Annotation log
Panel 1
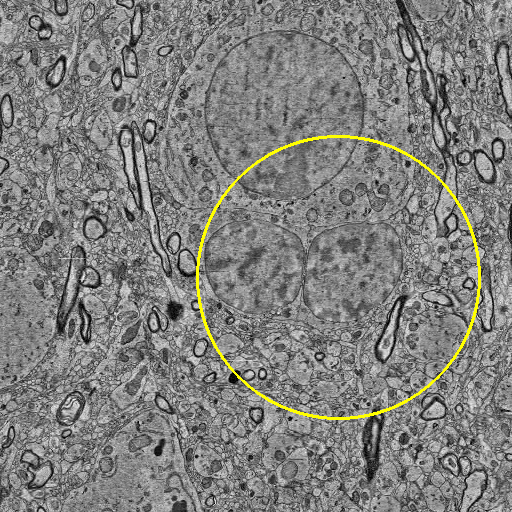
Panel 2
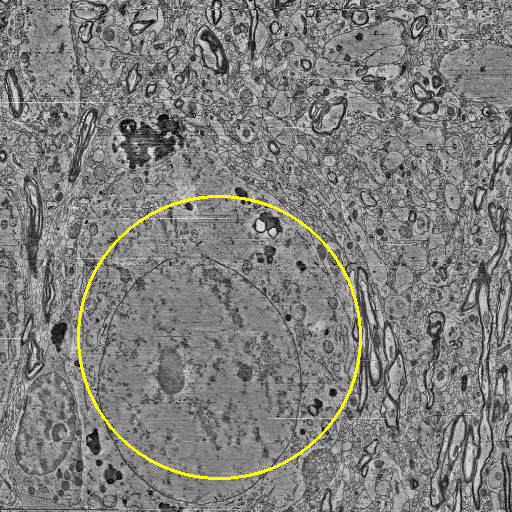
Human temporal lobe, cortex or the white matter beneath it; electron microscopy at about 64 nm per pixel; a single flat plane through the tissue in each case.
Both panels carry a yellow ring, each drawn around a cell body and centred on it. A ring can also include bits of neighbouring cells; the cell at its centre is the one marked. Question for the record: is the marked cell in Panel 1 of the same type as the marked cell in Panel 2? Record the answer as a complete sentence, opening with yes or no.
No, the marked cells in Panel 1 and Panel 2 are of two types.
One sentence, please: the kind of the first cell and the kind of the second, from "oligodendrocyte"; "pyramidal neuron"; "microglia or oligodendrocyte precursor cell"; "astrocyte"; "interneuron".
The ring in the first picture surrounds an oligodendrocyte, and the ring in the second surrounds a pyramidal neuron.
